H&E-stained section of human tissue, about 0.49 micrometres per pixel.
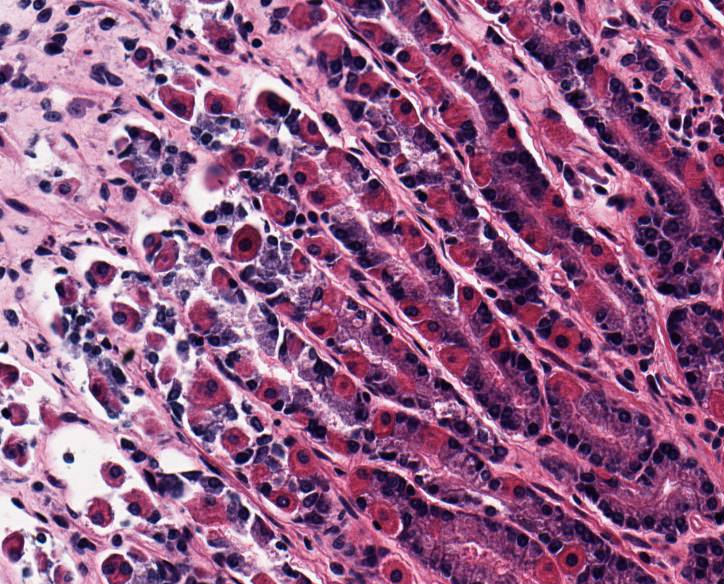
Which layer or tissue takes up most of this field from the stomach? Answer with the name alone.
fundic glands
